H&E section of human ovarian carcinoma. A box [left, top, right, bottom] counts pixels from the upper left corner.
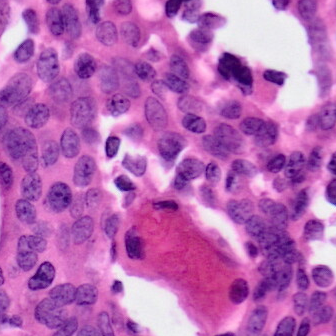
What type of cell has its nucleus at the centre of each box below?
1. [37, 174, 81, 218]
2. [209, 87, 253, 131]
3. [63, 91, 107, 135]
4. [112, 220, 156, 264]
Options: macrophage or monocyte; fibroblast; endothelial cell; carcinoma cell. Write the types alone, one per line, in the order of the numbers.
carcinoma cell
carcinoma cell
carcinoma cell
endothelial cell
